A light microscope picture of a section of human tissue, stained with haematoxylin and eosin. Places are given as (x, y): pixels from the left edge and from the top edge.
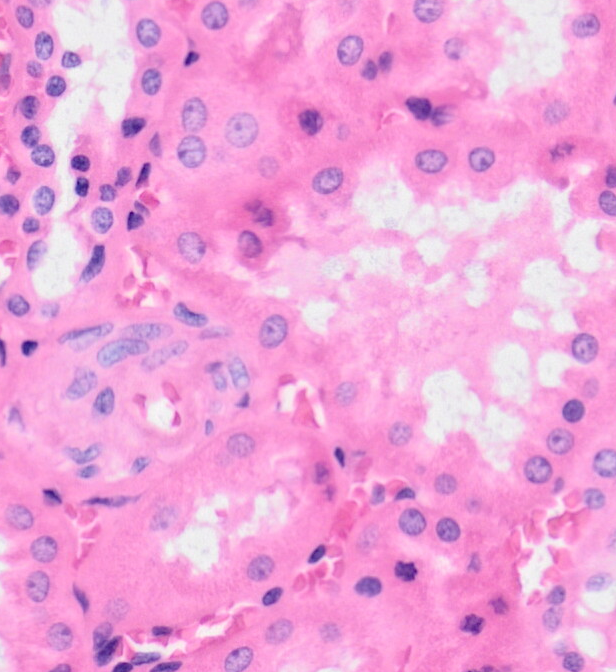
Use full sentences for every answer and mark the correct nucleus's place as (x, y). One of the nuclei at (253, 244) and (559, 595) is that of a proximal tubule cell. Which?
The correct choice is the nucleus at (253, 244), which belongs to a proximal tubule cell.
